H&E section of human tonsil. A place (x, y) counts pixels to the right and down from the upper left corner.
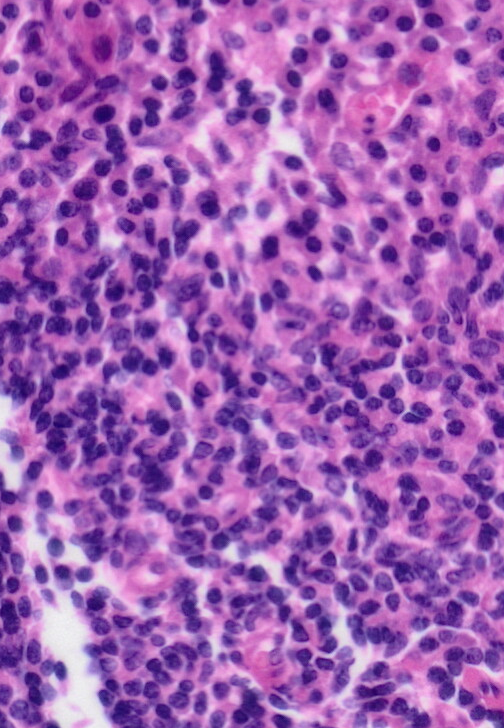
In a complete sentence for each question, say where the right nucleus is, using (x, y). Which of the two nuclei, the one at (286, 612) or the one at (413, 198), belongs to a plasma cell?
Of these two nuclei, only the one at (413, 198) belongs to a plasma cell.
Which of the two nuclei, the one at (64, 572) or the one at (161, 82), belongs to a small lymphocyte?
Lying within a small lymphocyte is the nucleus at (64, 572).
